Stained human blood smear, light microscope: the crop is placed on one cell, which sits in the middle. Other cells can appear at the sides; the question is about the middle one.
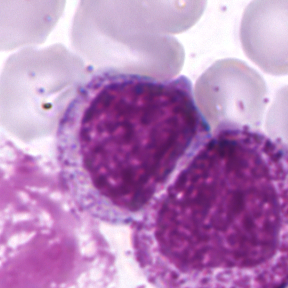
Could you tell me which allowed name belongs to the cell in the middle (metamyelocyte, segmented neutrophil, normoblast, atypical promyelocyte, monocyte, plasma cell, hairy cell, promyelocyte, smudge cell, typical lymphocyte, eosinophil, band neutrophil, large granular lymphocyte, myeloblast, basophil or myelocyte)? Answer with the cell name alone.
myelocyte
